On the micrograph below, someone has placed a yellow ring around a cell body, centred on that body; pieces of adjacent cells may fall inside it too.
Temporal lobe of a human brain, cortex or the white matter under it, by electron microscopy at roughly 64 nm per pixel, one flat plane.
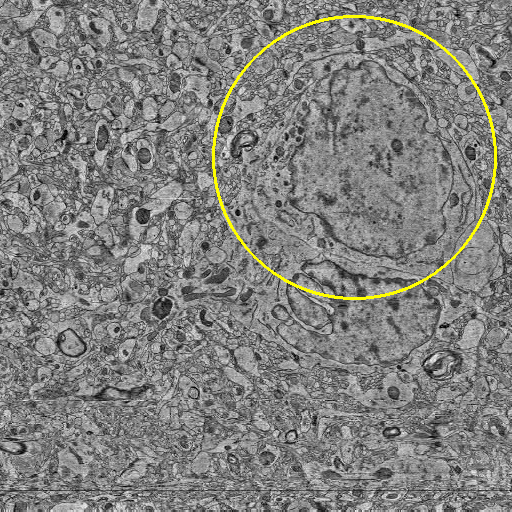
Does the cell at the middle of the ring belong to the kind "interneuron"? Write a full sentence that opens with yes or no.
Yes, the cell lying at the ring's centre on the micrograph is that kind.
